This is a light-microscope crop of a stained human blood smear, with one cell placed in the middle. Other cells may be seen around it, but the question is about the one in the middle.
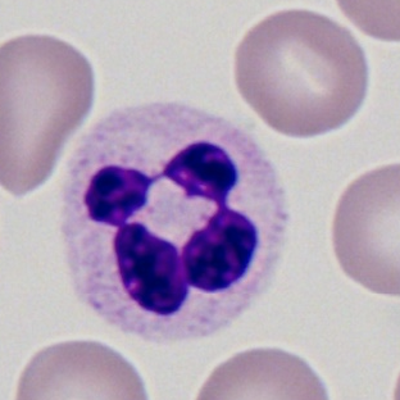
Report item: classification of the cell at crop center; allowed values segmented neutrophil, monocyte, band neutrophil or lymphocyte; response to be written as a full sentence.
For this crop, the cell in the middle is a segmented neutrophil.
